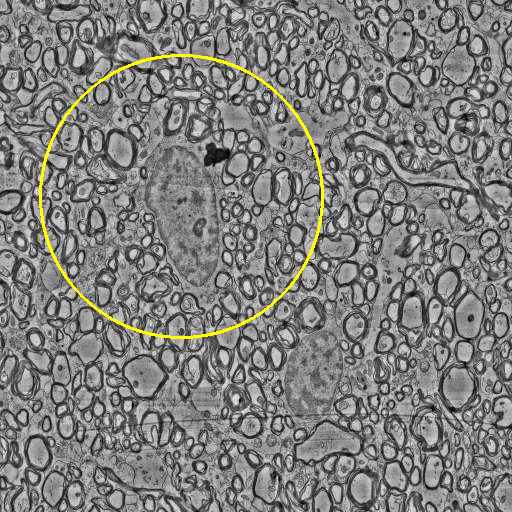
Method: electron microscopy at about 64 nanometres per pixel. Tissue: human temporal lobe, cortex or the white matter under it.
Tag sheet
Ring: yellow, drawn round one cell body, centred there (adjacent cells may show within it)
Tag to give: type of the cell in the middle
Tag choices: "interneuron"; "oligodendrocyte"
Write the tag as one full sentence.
I tag the cell centred in the yellow ring as an oligodendrocyte in this picture.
